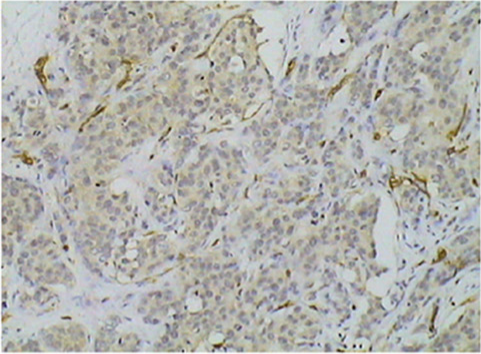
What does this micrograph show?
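The tumor cells have round to oval blue nuclei and pale cytoplasm that is at most faintly tan. Strong brown staining is confined mostly to thin, elongated structures running in the stroma between and around the nests.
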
